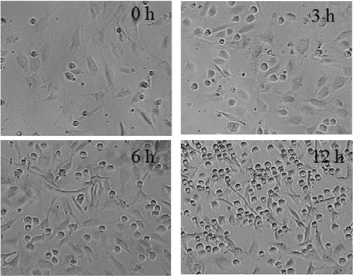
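These are four phase-contrast frames of a cultured cell layer, with small round cells resting on it. The underlying cells are flat, pale and irregularly elongated or polygonal, some with long slender extensions, and their outlines are only faintly visible against the background. Sitting on this layer are compact, rounded cells with bright, refractile rims that stand out clearly from the flattened cells beneath. The frames differ mainly in how many of these round cells lie on the layer: in one frame there are only scattered few, while in another they crowd much of the field in clusters.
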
